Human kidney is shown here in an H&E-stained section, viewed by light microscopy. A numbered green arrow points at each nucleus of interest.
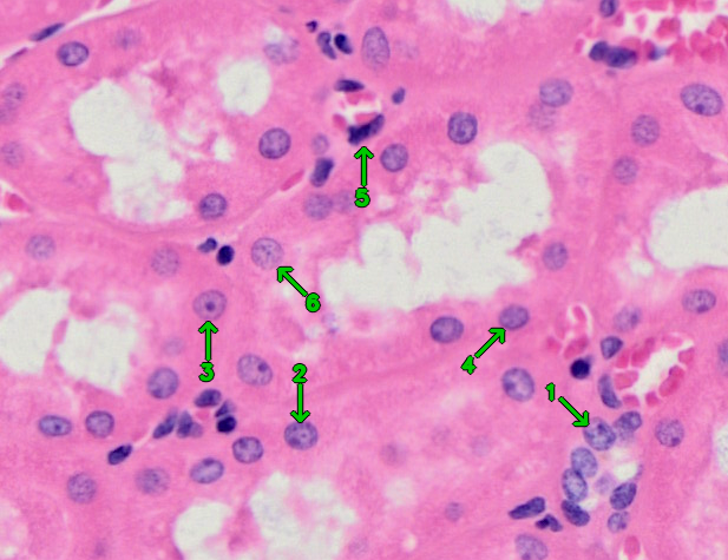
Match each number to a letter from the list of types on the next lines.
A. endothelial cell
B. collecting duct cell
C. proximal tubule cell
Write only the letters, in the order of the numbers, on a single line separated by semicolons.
B; C; C; C; A; C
